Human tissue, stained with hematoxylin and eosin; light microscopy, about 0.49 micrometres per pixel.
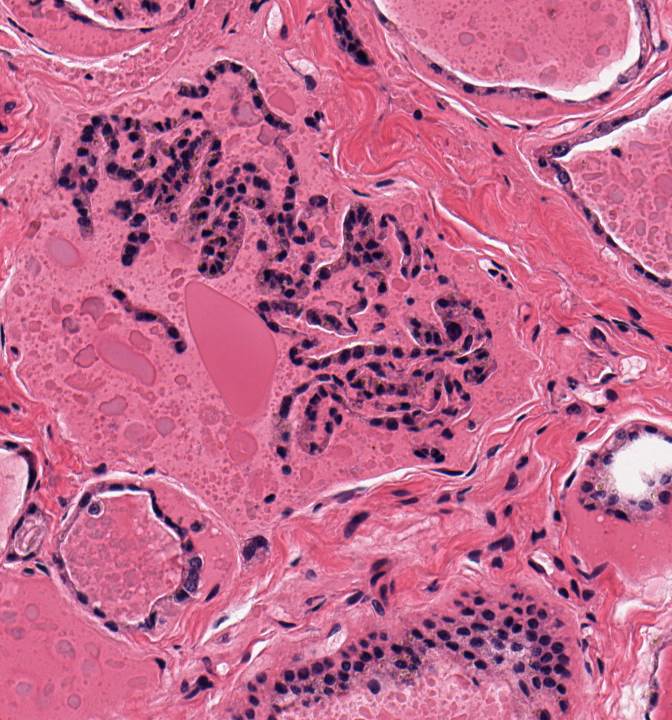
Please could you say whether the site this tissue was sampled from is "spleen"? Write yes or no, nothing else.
no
